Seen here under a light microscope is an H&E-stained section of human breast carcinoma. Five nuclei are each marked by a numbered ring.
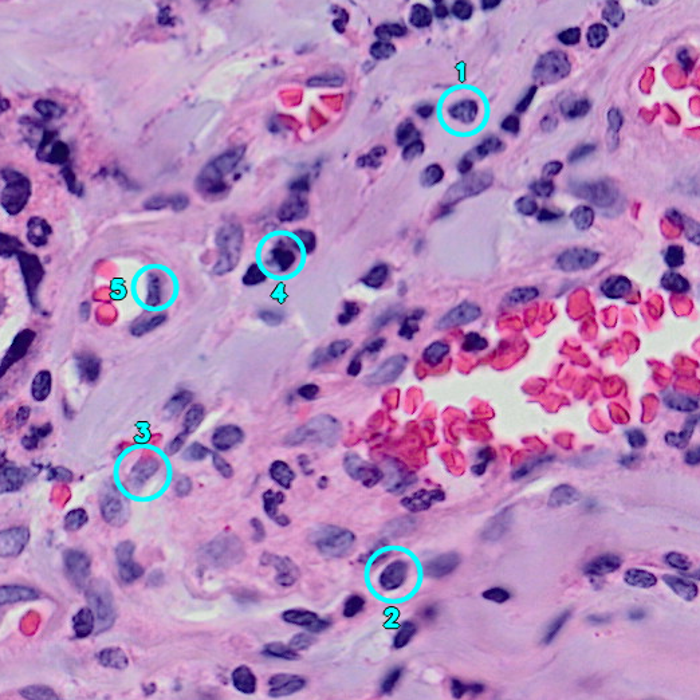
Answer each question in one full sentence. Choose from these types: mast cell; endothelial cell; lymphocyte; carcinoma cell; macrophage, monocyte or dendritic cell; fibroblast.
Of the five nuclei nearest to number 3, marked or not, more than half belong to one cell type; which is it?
Macrophages, monocytes or dendritic cells make up most of the five nuclei closest to number 3.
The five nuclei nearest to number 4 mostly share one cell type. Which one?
Around number 4, most of the five nearest nuclei are those of macrophages, monocytes or dendritic cells.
